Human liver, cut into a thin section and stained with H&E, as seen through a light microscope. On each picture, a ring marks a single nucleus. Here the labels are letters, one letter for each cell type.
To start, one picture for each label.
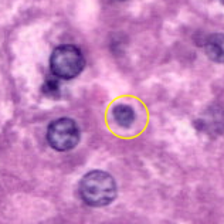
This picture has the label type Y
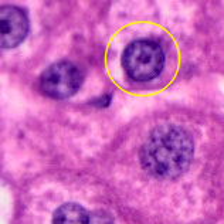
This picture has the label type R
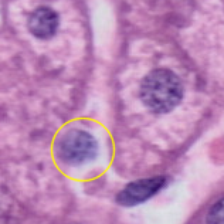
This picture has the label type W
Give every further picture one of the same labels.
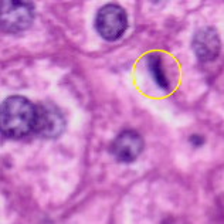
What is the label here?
type W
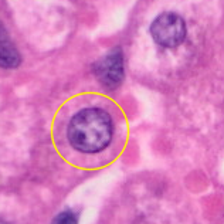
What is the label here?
type R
